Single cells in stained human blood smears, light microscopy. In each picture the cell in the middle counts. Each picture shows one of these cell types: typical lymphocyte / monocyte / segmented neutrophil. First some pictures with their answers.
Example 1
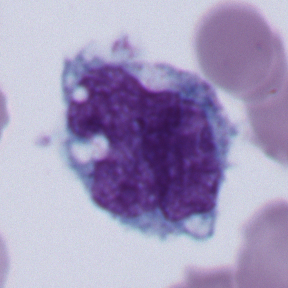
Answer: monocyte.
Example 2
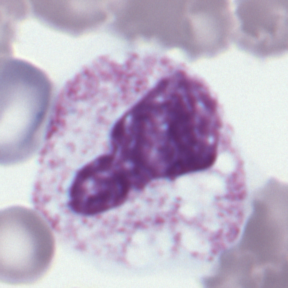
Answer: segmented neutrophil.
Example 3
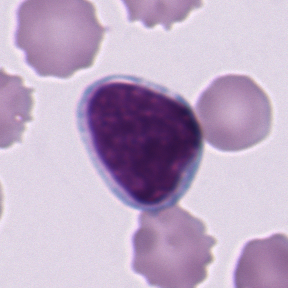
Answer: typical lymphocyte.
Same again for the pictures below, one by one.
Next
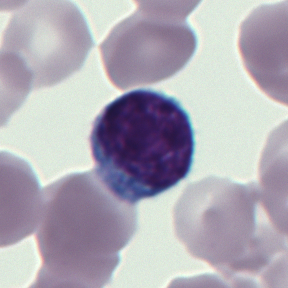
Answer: typical lymphocyte.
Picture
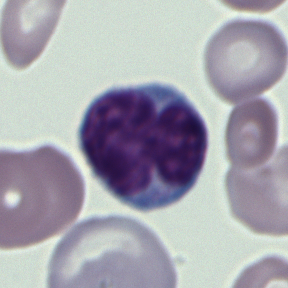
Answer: typical lymphocyte.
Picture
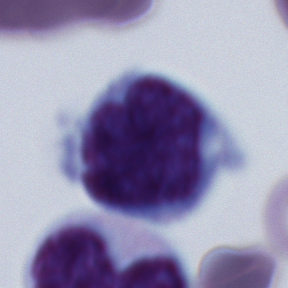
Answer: monocyte.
